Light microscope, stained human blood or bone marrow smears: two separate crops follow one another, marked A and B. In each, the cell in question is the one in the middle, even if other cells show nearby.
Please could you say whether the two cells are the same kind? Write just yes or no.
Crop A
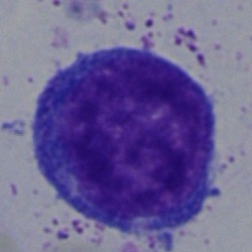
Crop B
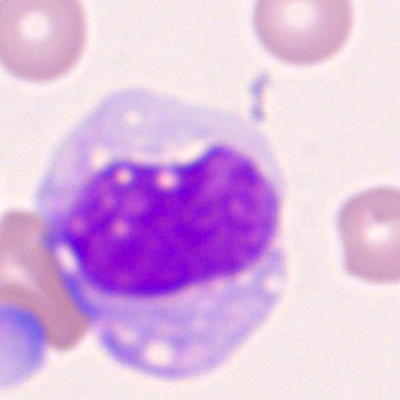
no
